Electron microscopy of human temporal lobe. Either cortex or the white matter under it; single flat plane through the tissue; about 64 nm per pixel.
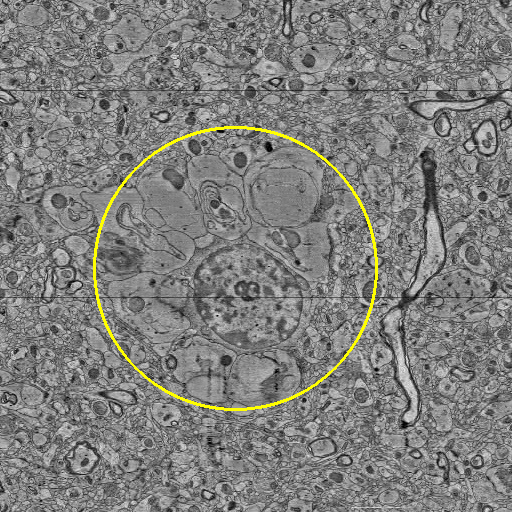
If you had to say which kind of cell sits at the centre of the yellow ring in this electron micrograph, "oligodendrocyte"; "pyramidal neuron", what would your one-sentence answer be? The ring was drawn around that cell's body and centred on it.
The cell sitting at the centre of the ring is an oligodendrocyte.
